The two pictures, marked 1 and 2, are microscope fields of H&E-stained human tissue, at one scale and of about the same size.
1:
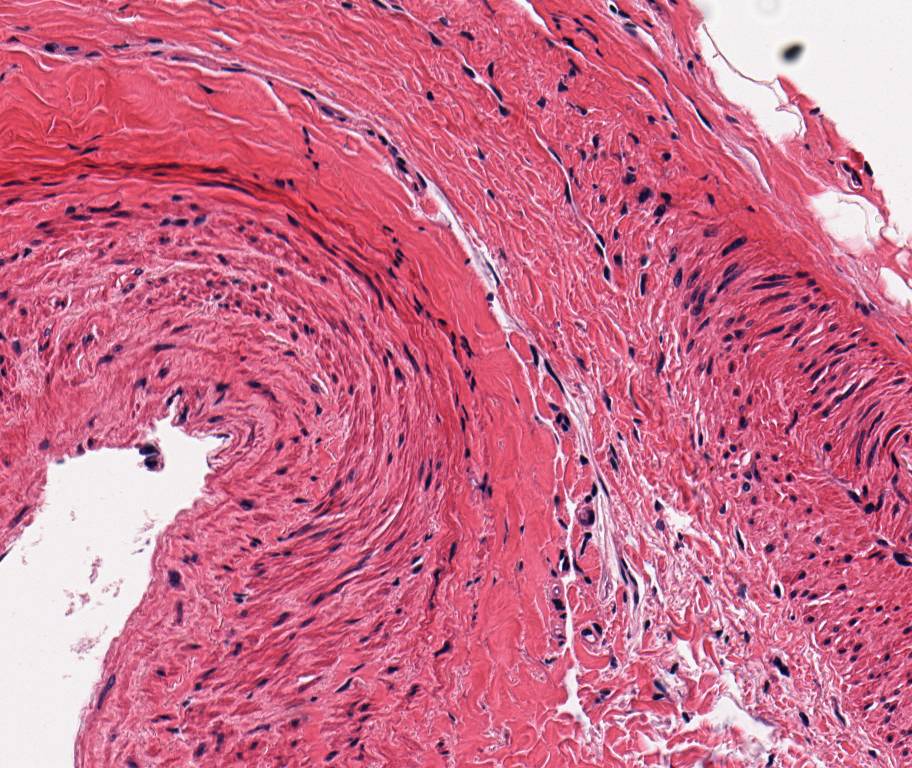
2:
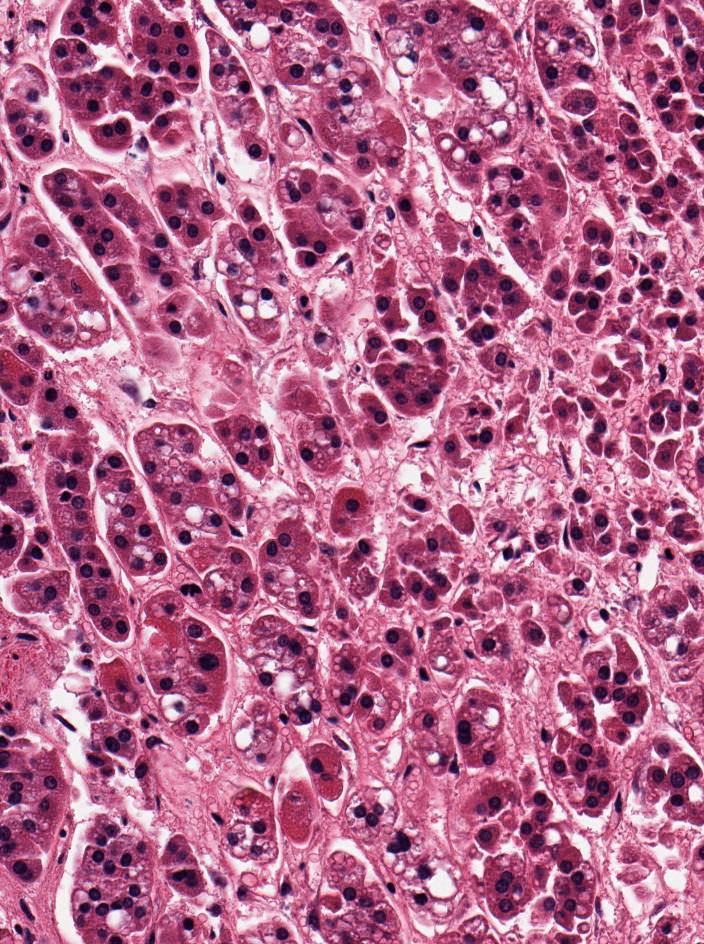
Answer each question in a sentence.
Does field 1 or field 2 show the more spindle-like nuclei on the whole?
It is field 1 whose nuclei are the more elongated.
